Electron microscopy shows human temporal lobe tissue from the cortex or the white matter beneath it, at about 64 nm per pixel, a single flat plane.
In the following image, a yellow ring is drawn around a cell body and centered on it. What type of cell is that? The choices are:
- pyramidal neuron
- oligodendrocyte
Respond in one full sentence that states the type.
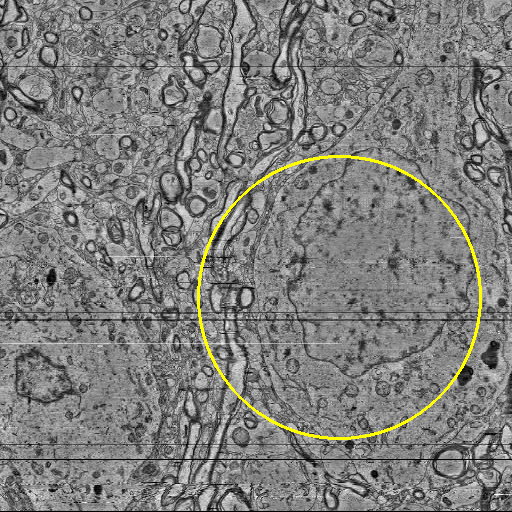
The cell at the center of the yellow ring in the image is a pyramidal neuron.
